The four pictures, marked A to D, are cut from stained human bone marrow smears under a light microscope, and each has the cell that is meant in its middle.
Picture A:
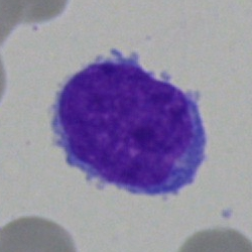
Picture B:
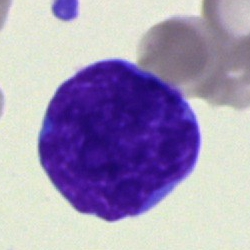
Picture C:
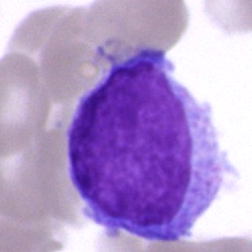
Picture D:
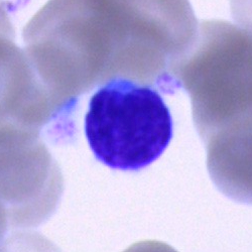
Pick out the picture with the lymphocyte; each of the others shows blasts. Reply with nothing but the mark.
D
